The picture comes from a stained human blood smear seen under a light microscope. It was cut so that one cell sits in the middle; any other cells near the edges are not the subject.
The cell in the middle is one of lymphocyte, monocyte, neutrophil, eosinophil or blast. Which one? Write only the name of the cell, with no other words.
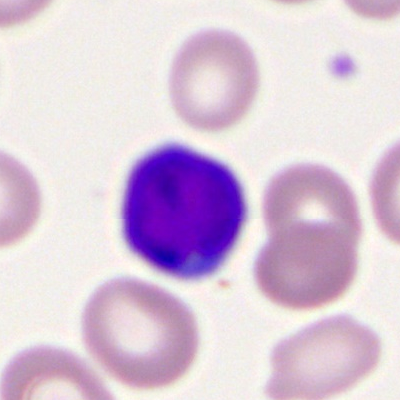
lymphocyte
